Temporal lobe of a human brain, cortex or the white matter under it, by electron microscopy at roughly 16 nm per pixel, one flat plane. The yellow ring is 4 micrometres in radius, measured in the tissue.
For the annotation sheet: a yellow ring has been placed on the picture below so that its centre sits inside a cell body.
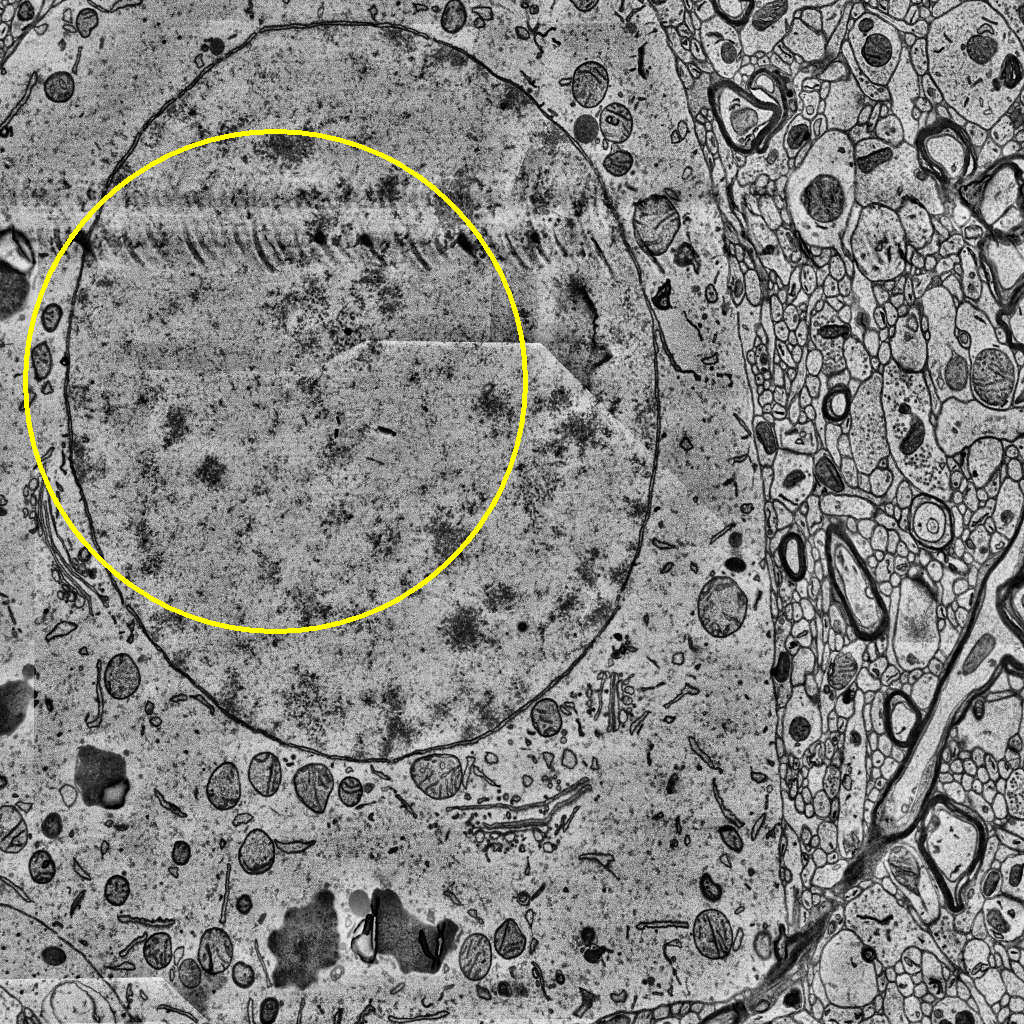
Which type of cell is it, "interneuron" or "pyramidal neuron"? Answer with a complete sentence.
The cell at the ring's centre is a pyramidal neuron.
